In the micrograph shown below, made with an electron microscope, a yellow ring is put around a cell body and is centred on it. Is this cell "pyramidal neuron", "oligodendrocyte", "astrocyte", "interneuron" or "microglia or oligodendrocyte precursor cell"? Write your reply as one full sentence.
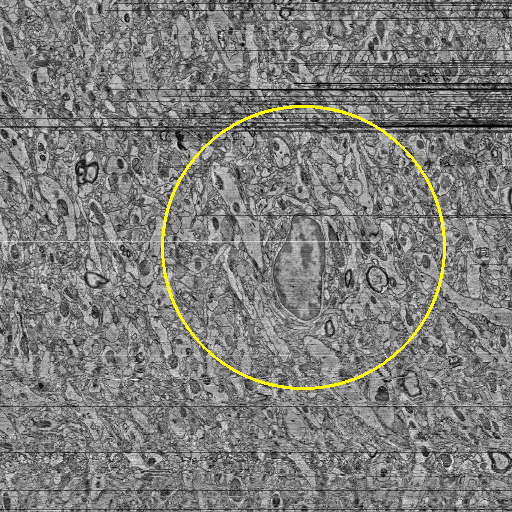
In the micrograph, a microglial cell or oligodendrocyte precursor cell is the cell at the centre of the yellow ring.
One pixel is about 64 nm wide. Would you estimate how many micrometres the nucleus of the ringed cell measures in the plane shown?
The nucleus is approximately 7 micrometers long by 3 micrometers wide in this plane.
